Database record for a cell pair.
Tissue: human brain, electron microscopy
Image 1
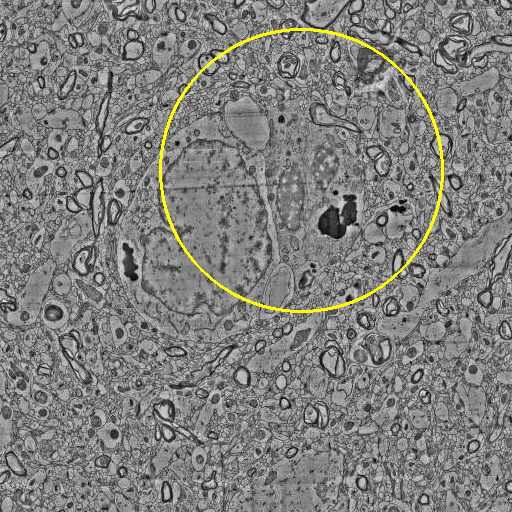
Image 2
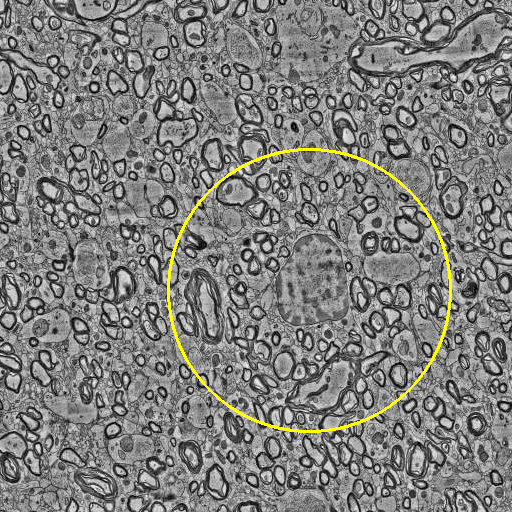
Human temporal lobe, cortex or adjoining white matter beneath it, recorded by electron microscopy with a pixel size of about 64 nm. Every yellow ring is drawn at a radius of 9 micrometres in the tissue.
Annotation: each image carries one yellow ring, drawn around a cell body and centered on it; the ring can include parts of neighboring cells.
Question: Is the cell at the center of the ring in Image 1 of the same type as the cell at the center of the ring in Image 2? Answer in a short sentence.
No, the cells are of two types.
